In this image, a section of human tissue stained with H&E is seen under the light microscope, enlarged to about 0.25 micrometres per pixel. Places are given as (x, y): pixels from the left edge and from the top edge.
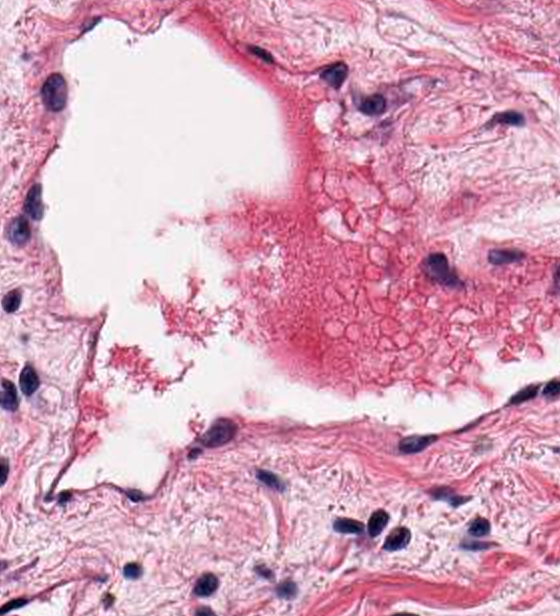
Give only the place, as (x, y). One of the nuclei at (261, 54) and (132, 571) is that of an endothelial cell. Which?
(261, 54)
